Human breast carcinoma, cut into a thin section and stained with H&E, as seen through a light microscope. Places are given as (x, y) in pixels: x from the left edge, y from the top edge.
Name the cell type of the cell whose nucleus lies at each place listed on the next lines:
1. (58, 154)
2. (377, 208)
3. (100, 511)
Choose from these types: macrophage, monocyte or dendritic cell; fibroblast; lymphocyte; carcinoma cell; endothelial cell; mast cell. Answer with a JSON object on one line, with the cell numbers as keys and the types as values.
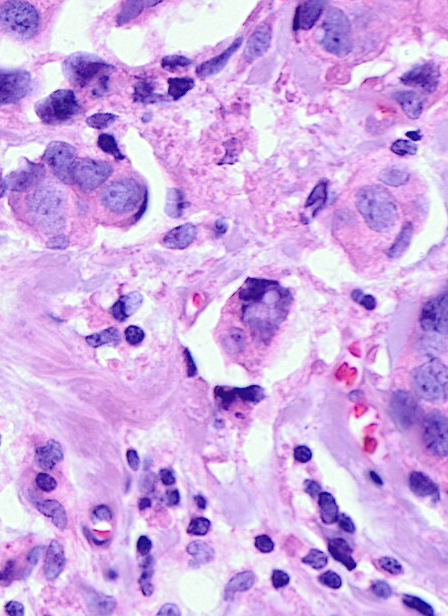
{"1": "carcinoma cell", "2": "carcinoma cell", "3": "endothelial cell"}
